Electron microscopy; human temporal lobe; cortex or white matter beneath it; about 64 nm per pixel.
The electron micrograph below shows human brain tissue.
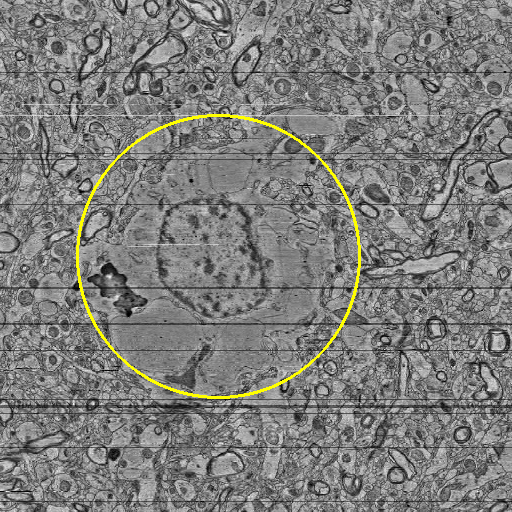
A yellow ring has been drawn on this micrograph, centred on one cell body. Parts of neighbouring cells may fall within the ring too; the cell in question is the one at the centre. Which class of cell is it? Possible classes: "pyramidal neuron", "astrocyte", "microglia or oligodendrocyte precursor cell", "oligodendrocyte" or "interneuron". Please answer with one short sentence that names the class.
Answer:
In the centre of the ring sits an astrocyte.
